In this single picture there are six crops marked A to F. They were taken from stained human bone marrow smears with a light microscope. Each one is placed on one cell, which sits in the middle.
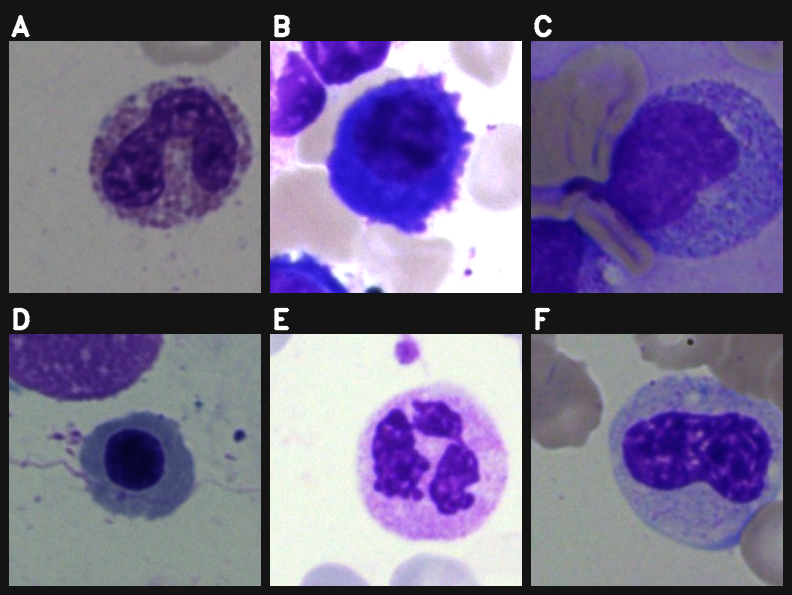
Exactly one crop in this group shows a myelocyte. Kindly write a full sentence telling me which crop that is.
Crop C is the single crop that shows a myelocyte.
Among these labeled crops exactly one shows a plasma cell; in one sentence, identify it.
When the crops are compared, crop B is the one showing a plasma cell.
